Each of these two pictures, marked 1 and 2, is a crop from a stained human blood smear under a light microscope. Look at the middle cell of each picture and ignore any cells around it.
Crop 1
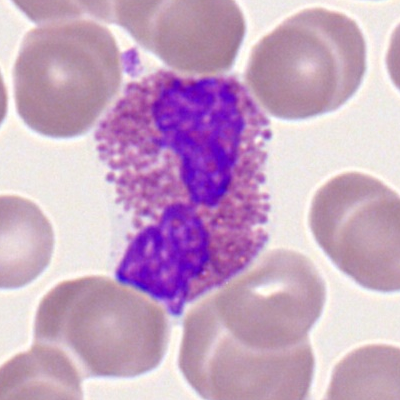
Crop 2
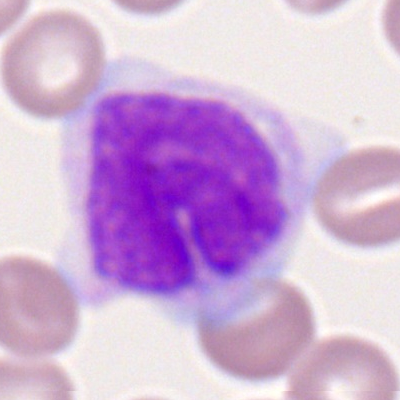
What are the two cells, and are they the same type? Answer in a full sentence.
No, crop 2 holds a monocyte, while crop 1 holds an eosinophil.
